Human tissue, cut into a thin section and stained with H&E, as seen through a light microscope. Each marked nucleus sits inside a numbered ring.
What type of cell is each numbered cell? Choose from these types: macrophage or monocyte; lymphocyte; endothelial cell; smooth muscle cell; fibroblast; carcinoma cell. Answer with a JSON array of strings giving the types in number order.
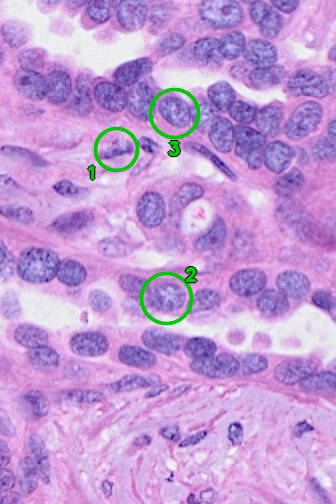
["fibroblast", "carcinoma cell", "carcinoma cell"]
